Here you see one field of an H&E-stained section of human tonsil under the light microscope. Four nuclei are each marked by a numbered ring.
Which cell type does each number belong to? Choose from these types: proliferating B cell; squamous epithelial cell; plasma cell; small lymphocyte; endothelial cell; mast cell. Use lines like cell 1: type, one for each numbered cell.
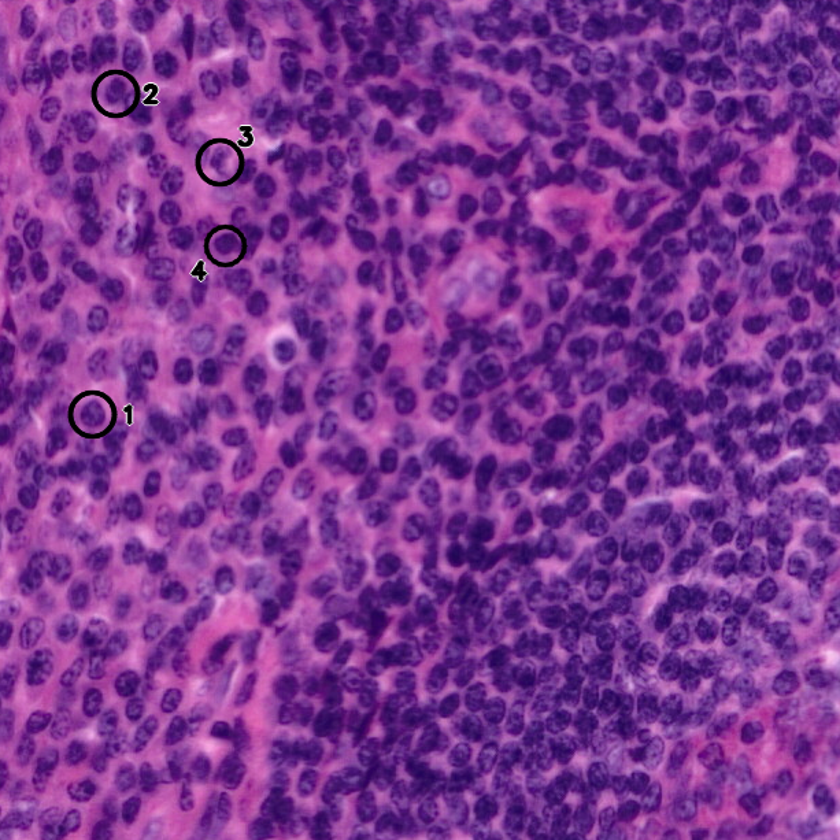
cell 1: plasma cell
cell 2: plasma cell
cell 3: endothelial cell
cell 4: plasma cell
